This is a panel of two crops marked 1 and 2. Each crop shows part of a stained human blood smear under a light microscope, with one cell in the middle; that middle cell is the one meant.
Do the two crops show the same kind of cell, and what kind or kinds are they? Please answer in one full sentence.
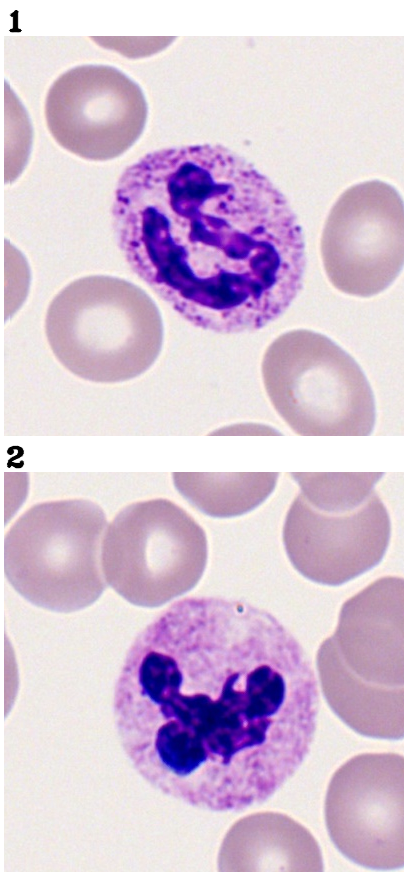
Yes, both crops show neutrophils, with no exception.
